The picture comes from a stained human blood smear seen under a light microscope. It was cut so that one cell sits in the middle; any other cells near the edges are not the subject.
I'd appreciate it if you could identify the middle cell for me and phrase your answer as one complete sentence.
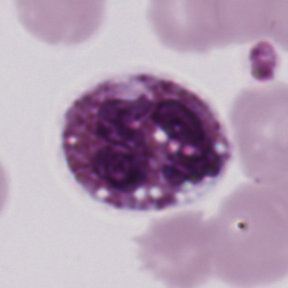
Framed in the middle of the crop is an eosinophil.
